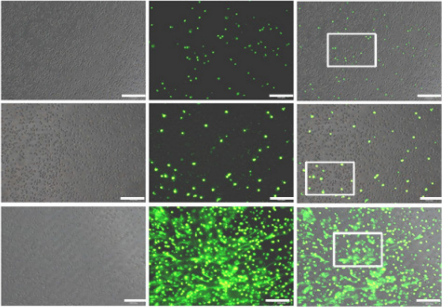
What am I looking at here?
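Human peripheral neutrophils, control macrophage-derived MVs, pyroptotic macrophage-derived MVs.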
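In the upper two rows the cells appear as densely packed small round bodies, and only a minority show discrete green dots. In the bottom row green fluorescence is far denser and covers most of the field. The green there forms irregular patches and streaks that extend beyond single cells and join clusters of cells together.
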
